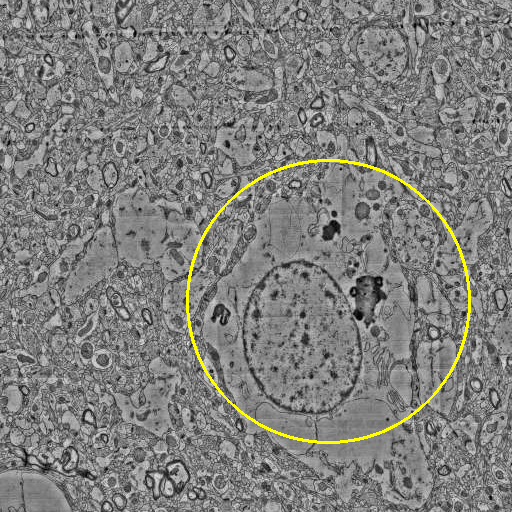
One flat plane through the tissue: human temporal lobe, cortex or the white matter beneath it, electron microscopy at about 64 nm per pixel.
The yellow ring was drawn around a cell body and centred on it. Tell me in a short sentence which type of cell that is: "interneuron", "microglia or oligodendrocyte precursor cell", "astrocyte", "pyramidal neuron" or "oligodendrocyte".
The cell at the ring's centre is an astrocyte.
